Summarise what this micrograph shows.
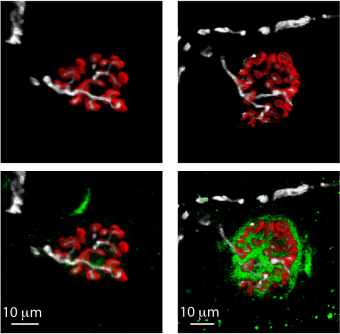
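Each image shows a single neuromuscular junction, seen as a compact, pretzel-shaped red cluster of branched gutters a few tens of micrometres across. Thin white fibres run through the field, beaded in places, and one branches out to lie over the red cluster, following its folds. In some images a green signal surrounds and fills the red cluster like a halo, while in others green is almost absent except for a small patch beside it.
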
